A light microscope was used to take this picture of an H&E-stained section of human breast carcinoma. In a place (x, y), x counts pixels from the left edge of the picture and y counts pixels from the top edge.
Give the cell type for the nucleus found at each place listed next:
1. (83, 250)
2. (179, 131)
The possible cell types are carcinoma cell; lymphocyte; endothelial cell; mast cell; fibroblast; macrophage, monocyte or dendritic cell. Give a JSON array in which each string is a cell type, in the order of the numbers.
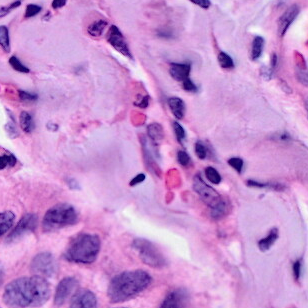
["carcinoma cell", "lymphocyte"]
